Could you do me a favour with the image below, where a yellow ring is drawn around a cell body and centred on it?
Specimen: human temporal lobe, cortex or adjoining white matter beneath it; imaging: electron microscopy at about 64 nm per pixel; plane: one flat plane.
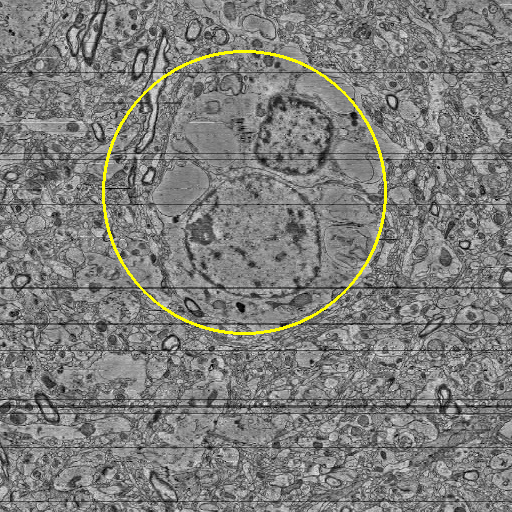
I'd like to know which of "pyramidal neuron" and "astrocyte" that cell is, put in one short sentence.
The cell at the ring's centre is an astrocyte.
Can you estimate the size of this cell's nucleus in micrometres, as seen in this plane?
The nucleus is about 9 micrometres across in this plane.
